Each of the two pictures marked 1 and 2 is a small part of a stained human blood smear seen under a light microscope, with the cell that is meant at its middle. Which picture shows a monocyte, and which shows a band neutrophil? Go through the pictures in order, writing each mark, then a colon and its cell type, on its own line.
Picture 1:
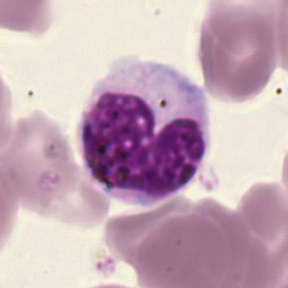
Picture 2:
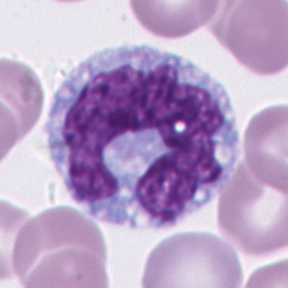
1: band neutrophil
2: monocyte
